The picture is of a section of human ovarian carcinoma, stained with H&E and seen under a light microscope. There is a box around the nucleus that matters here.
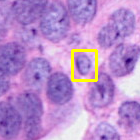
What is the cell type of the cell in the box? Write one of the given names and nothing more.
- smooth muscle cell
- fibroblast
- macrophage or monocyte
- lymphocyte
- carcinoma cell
macrophage or monocyte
